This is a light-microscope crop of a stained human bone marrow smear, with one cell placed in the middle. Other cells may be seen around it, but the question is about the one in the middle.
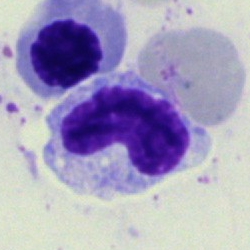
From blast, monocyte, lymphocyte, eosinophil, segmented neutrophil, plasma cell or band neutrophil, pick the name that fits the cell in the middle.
band neutrophil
